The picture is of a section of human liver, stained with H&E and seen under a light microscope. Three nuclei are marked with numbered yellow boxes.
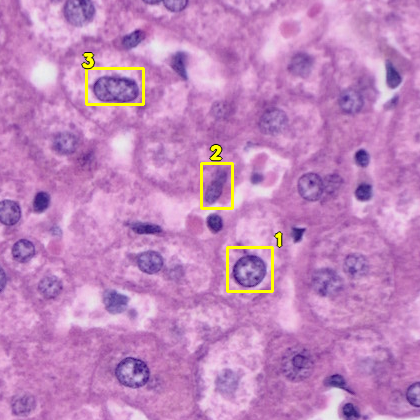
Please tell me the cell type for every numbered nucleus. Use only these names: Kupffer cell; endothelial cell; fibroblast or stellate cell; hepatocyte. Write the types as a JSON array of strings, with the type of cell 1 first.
["hepatocyte", "Kupffer cell", "hepatocyte"]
